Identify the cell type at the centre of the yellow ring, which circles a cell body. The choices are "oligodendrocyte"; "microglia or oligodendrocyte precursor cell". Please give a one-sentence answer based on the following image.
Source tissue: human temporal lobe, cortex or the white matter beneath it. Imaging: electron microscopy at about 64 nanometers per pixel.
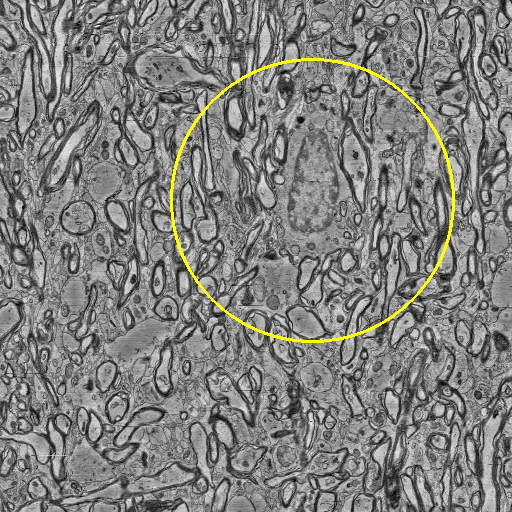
The cell marked by the ring is an oligodendrocyte.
